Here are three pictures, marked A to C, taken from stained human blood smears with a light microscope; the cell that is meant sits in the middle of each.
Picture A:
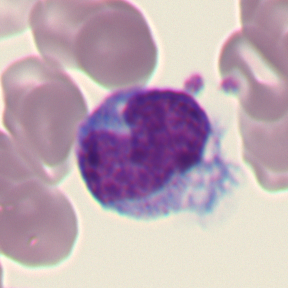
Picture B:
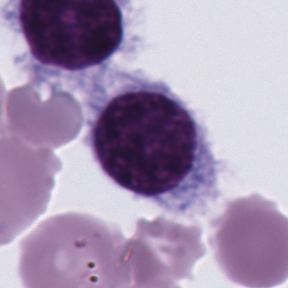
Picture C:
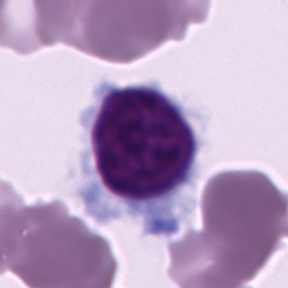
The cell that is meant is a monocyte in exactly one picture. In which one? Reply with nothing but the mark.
A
